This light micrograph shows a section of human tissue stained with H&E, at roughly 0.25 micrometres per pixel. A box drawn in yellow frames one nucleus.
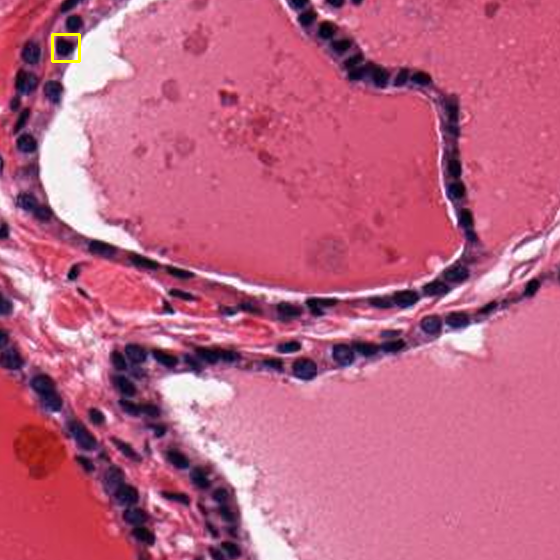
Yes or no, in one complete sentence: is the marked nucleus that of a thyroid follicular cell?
Yes, the marked nucleus is the nucleus of a thyroid follicular cell in this section.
